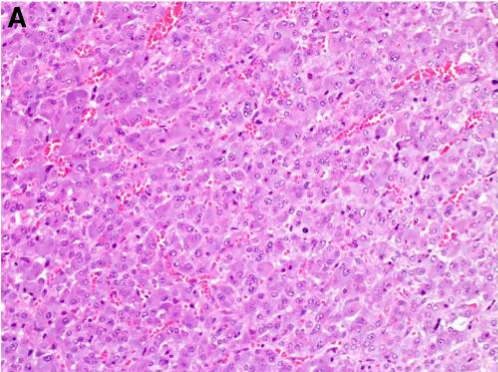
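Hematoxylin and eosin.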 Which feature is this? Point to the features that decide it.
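Cells are polygonal with distinct borders. Cells are grouped in tight clusters separated by thin blood-filled vascular channels. Cytoplasm is abundant, pink-purple and granular. That points to this answer: compact nests of polygonal cells.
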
